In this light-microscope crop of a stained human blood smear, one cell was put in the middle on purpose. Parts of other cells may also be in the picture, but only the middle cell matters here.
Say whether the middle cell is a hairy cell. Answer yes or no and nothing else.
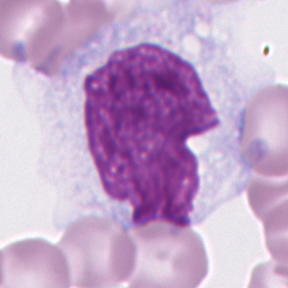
no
